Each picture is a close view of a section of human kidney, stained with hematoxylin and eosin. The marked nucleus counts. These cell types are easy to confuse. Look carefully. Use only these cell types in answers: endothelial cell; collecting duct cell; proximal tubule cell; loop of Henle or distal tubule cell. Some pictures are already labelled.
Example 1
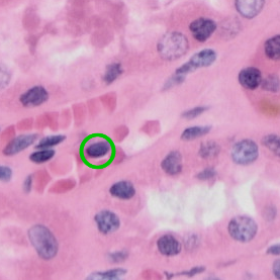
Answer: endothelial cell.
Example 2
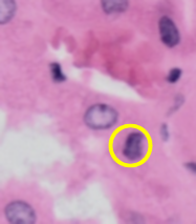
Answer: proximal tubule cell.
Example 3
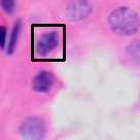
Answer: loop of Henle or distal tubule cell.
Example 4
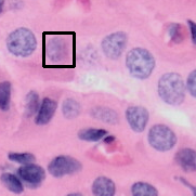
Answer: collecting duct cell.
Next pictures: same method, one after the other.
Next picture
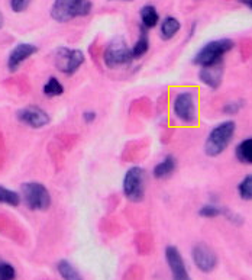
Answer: endothelial cell.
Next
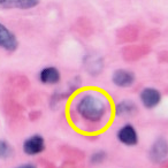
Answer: endothelial cell.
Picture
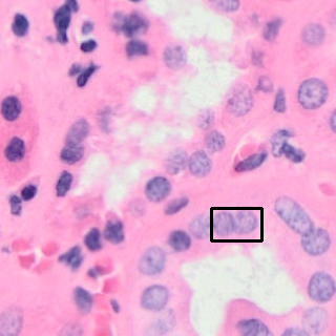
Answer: collecting duct cell.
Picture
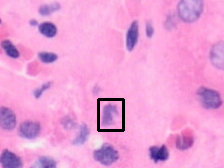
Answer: loop of Henle or distal tubule cell.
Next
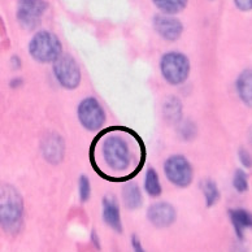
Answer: collecting duct cell.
